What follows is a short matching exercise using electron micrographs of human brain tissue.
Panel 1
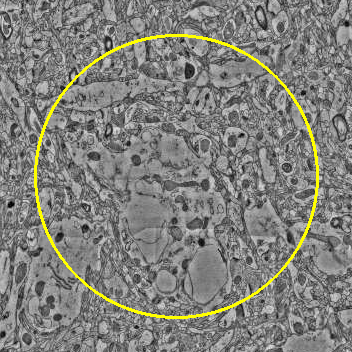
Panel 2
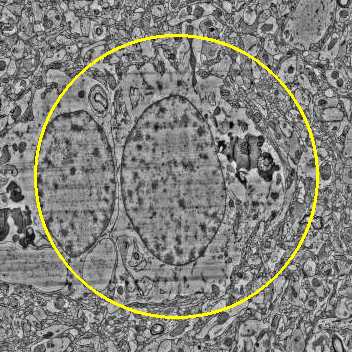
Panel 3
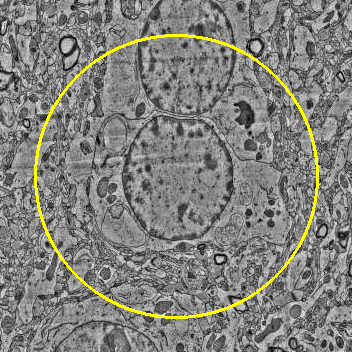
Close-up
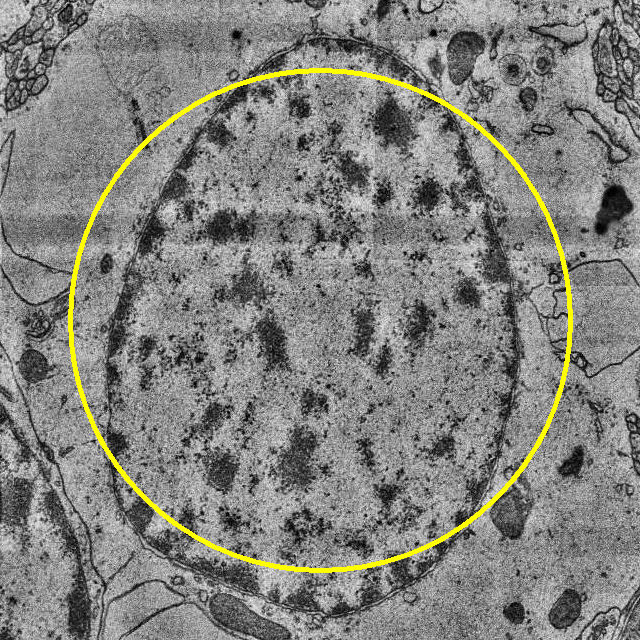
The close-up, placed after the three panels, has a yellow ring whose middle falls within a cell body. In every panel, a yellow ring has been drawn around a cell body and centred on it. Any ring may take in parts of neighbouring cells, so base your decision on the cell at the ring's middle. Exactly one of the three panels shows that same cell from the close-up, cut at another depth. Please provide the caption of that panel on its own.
Panel 1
